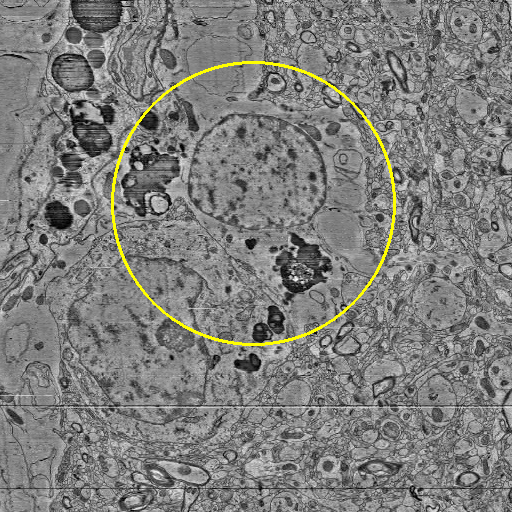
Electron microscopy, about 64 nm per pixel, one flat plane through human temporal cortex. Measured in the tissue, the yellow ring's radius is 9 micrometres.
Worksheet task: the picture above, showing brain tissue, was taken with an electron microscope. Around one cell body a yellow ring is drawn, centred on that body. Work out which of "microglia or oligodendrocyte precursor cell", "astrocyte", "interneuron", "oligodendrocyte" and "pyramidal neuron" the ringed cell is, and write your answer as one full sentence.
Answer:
It is an astrocyte whose cell body lies at the centre of the yellow ring.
